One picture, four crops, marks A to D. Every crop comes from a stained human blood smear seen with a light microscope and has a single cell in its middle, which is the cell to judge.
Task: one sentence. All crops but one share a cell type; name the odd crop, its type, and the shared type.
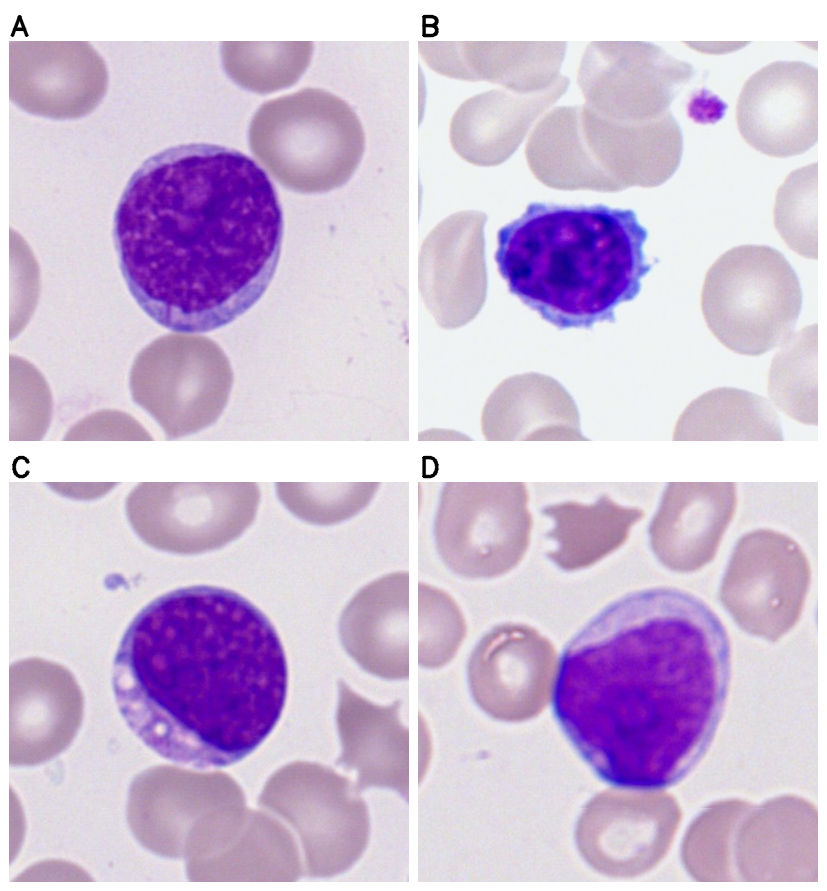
Of all the crops, only crop B shows a lymphocyte; the others show myeloblasts.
